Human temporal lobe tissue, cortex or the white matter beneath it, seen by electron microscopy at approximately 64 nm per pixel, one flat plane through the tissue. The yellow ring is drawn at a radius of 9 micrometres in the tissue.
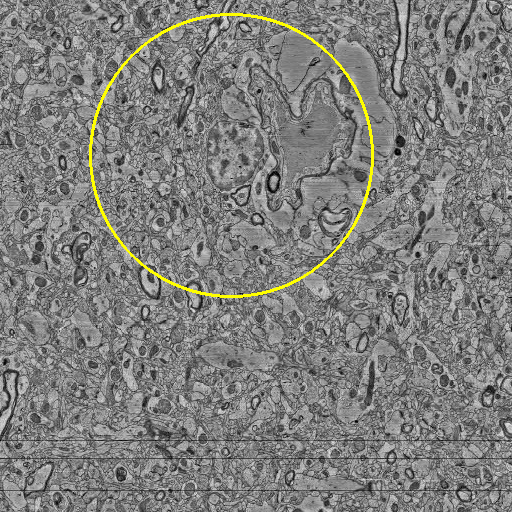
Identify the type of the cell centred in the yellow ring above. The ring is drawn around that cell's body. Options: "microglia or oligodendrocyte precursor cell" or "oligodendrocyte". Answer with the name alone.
oligodendrocyte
